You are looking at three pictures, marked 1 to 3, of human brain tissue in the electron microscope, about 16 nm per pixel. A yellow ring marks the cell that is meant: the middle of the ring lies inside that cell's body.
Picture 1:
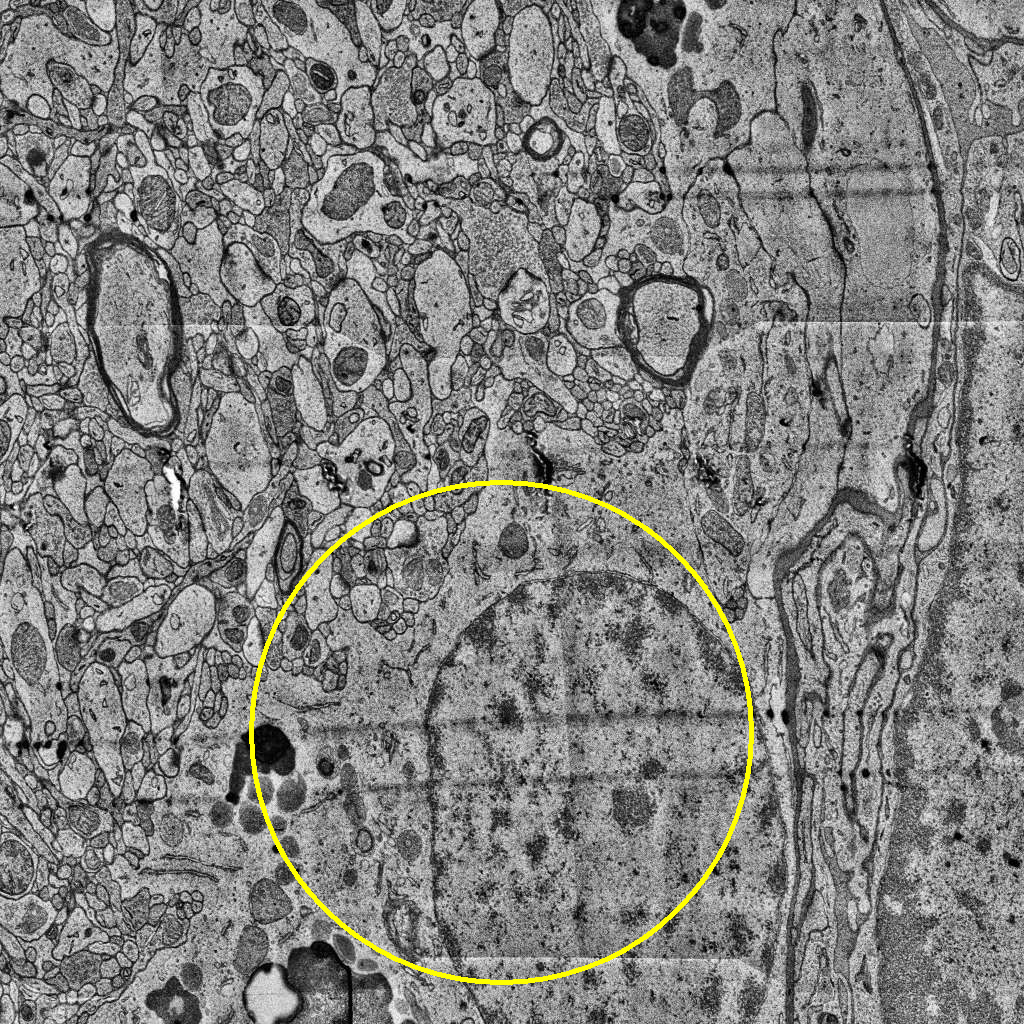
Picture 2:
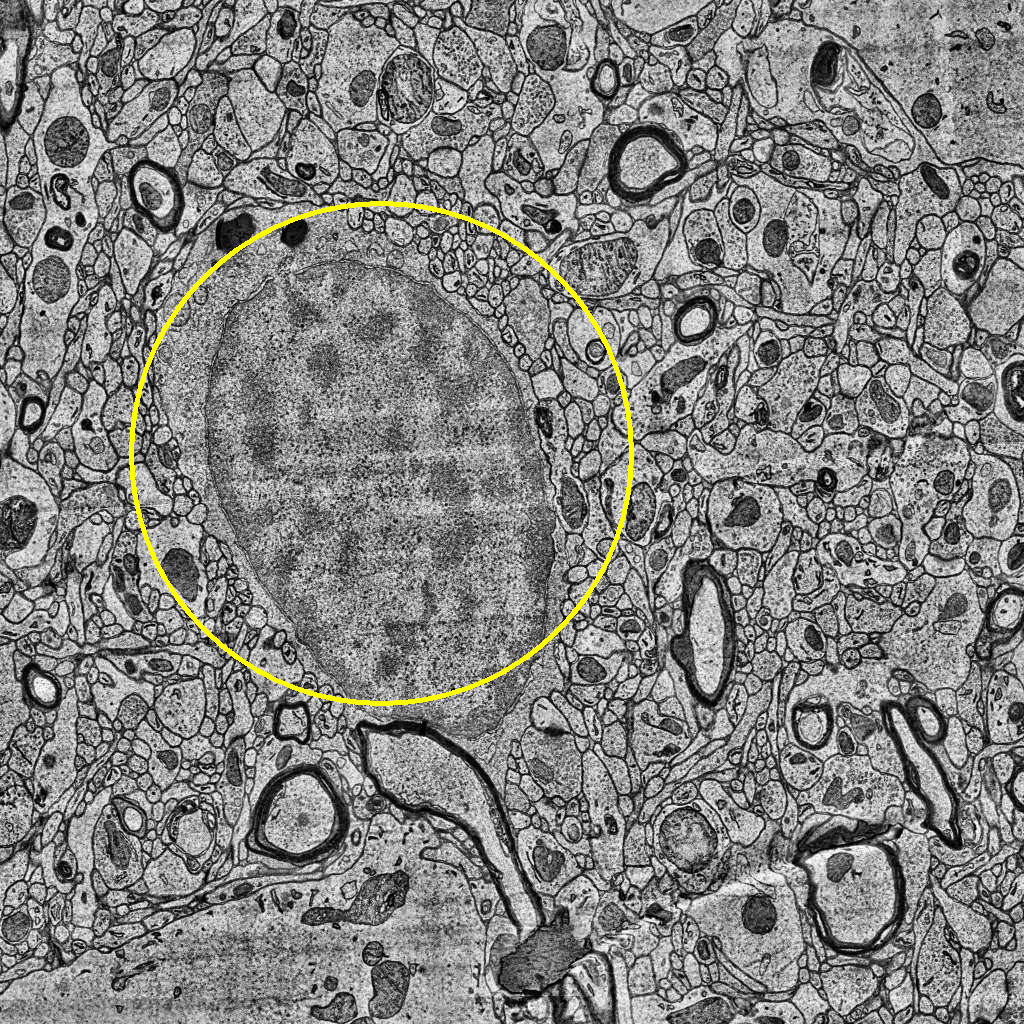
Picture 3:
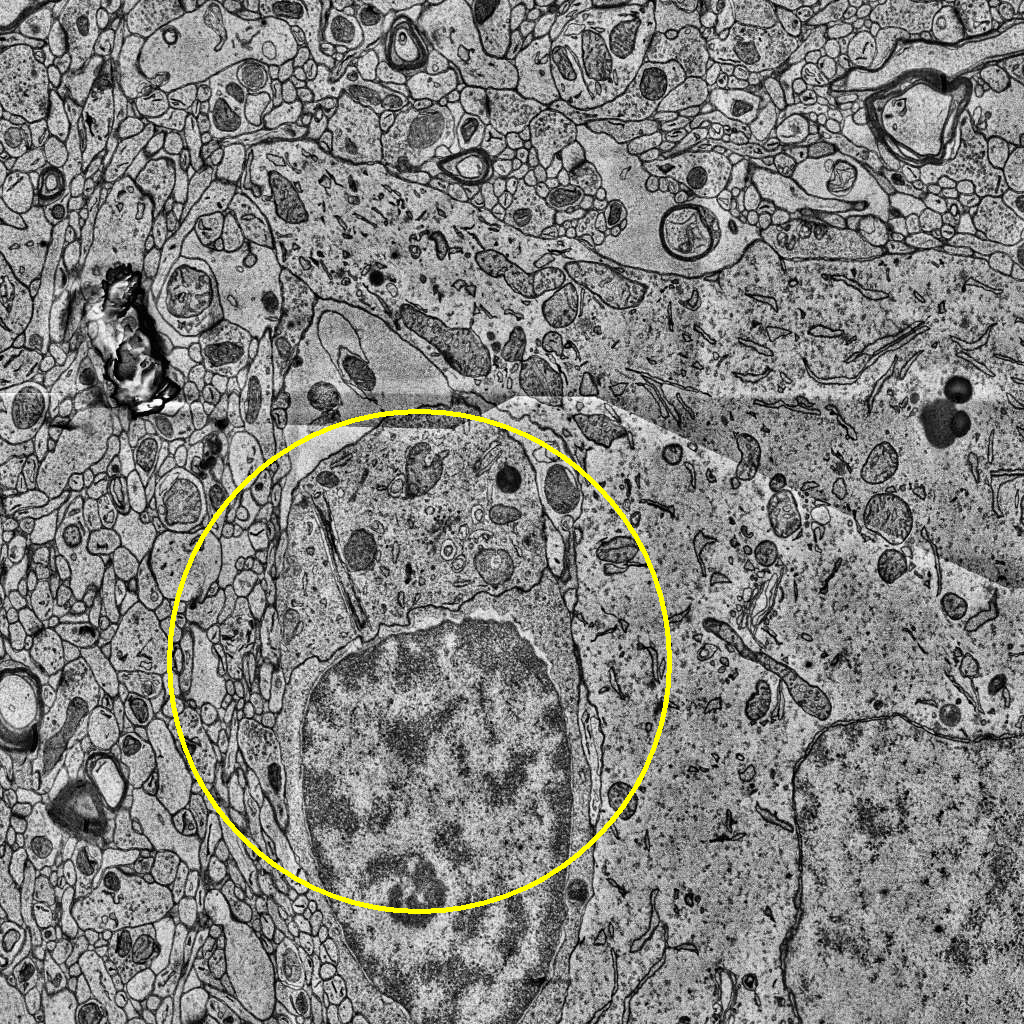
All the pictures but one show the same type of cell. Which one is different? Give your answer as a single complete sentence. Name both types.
Picture 1 differs, because its cell is an astrocyte and the rest are oligodendrocytes.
